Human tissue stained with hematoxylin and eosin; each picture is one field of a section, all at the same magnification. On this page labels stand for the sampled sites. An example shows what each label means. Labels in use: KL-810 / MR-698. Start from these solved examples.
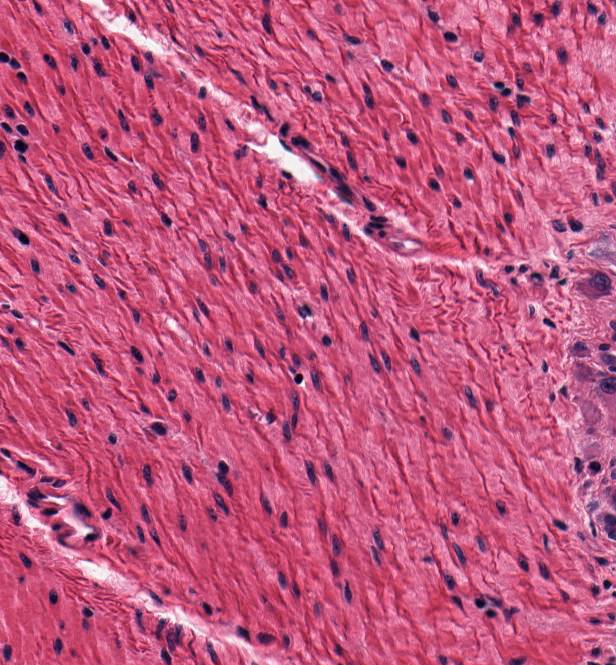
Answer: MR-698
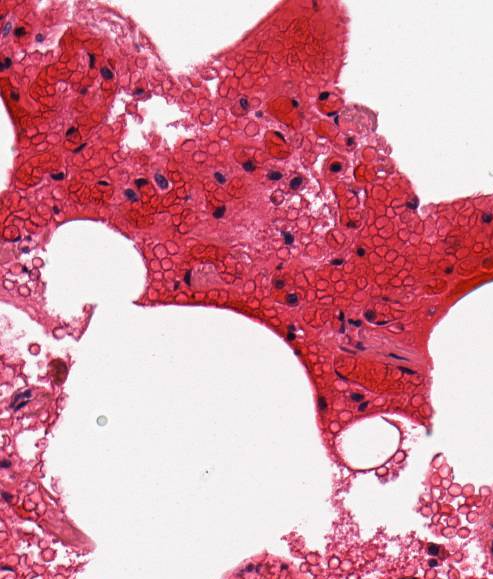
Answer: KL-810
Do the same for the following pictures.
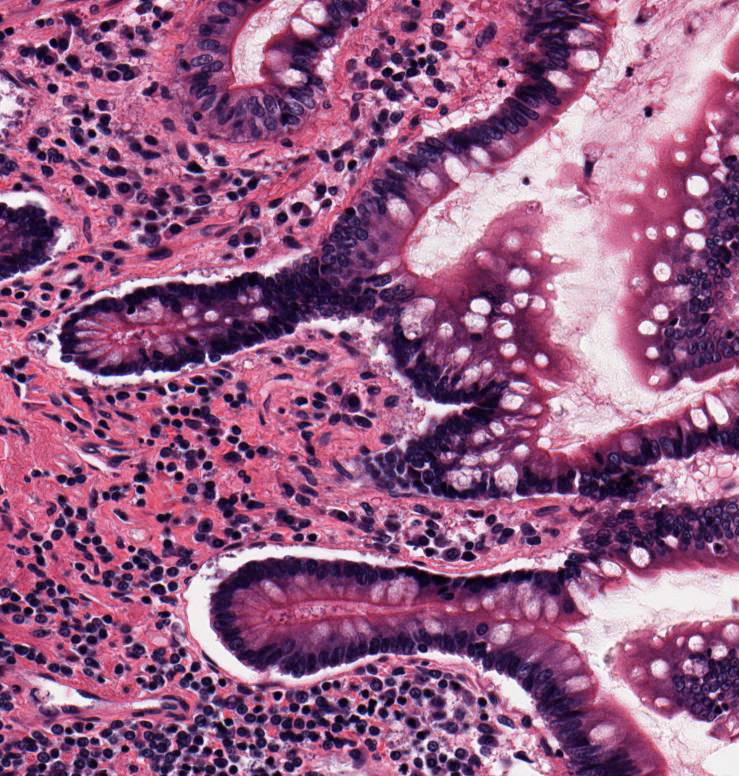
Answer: MR-698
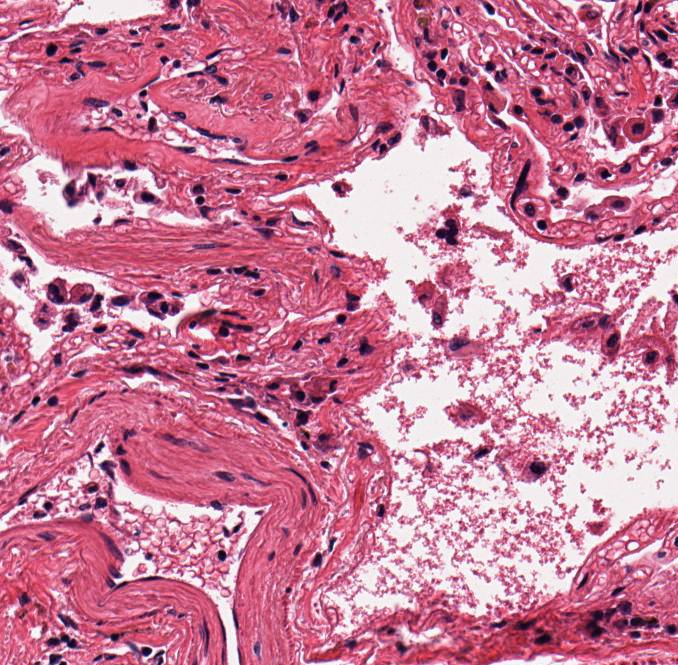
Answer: KL-810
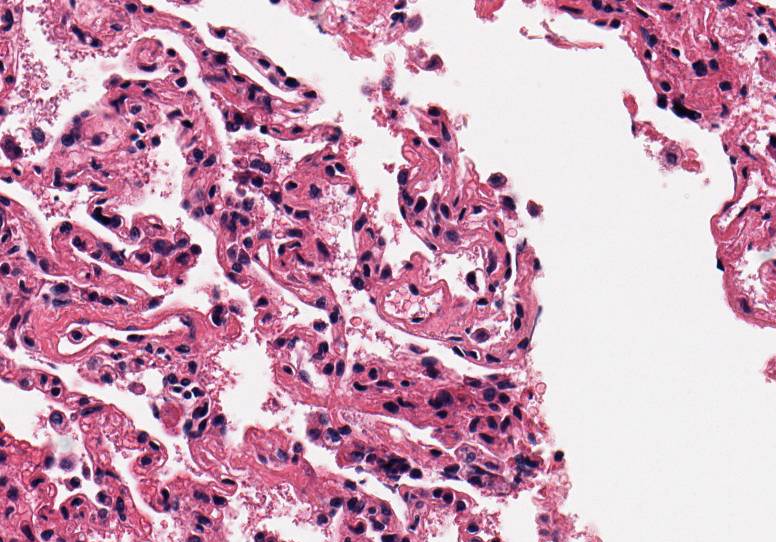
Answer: KL-810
